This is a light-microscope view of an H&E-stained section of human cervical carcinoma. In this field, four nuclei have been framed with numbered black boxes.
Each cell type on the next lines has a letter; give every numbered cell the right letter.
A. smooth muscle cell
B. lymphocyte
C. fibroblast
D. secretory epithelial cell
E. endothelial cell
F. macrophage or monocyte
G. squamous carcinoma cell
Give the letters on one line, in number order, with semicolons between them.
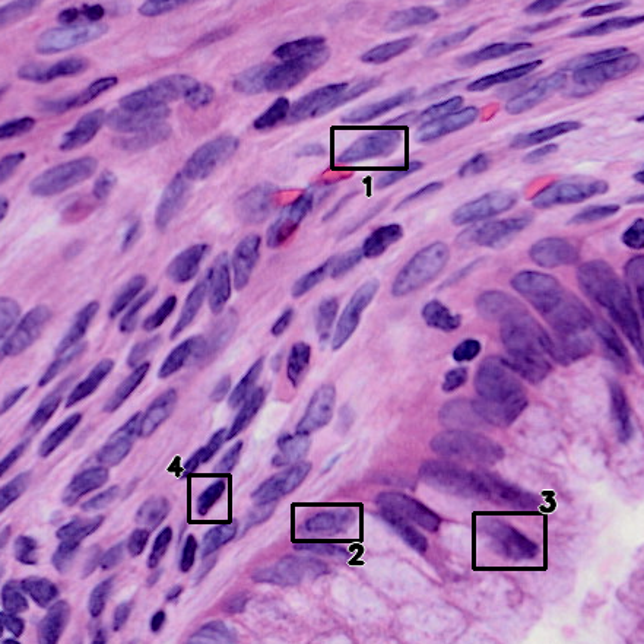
E; D; D; B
